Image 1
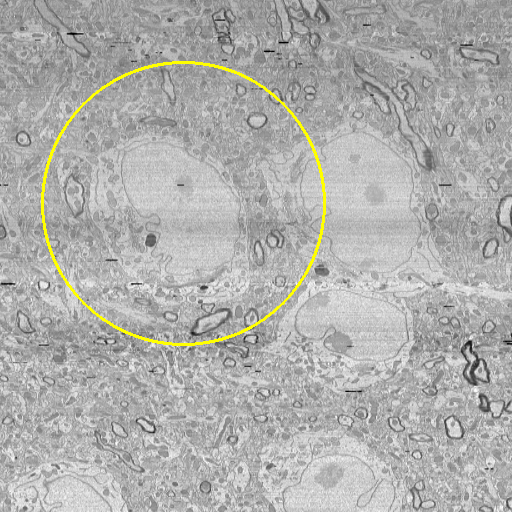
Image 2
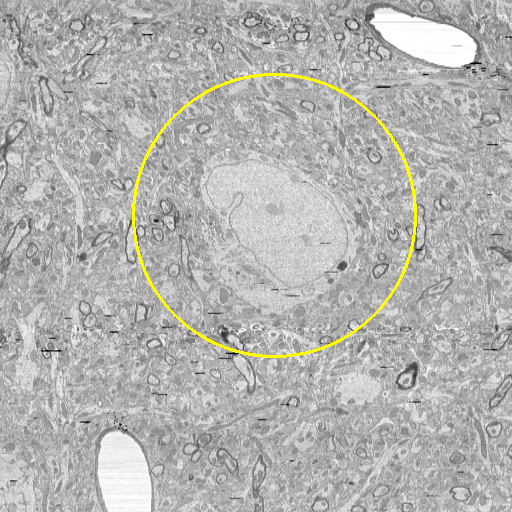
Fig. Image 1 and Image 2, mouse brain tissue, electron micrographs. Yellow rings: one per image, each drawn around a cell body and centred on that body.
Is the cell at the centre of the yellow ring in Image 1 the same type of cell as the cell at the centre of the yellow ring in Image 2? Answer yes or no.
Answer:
no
